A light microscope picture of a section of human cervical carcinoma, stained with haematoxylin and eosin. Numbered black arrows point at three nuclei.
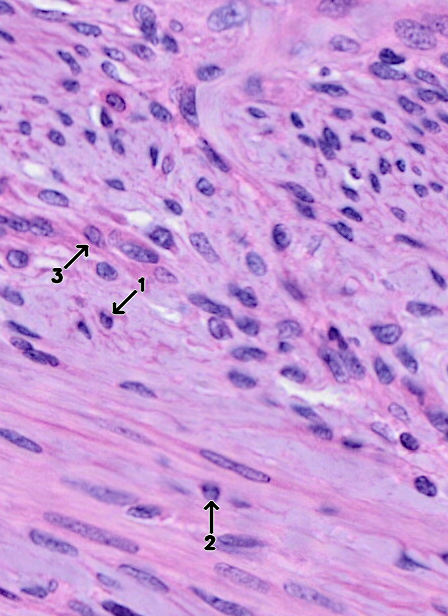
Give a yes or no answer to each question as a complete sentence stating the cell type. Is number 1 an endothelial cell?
No, it is a smooth muscle cell, not an endothelial cell, at number 1.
